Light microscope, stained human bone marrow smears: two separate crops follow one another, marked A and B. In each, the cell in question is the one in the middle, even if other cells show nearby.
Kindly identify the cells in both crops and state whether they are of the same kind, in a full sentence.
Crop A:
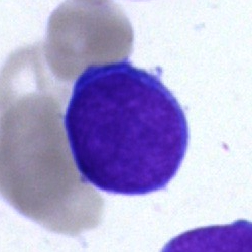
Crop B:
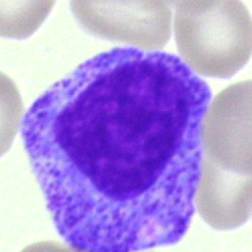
No, a blast is what crop A shows, and a promyelocyte is what crop B shows.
